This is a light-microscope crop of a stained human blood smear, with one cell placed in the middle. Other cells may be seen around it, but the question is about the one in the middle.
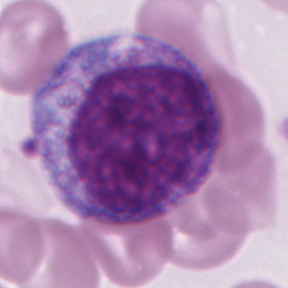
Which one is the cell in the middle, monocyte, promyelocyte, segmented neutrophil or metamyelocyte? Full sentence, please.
At the crop's centre, the cell is a promyelocyte.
